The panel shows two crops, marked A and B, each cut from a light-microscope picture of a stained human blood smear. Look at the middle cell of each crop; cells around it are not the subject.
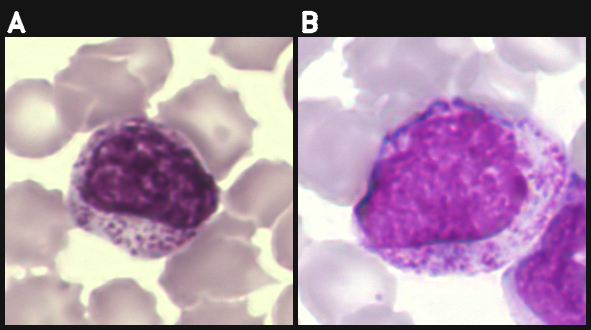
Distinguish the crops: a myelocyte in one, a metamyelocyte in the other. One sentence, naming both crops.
In crop B the central cell is a myelocyte, and in crop A it is a metamyelocyte.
